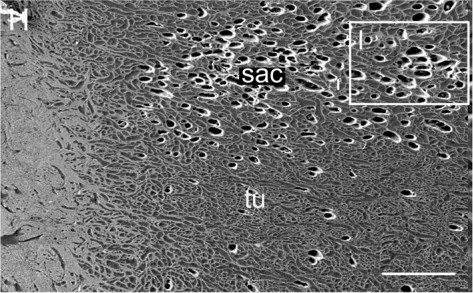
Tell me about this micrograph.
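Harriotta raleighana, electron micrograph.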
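Hypermineralized tritor dentine in which a dense, complex network of narrow tubules runs through the mineralized matrix, many of them expanded into rounded saccules. The saccules appear as dark oval openings with bright rims, clustered most densely in the upper part of the field, while elongated tubules predominate lower down.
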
